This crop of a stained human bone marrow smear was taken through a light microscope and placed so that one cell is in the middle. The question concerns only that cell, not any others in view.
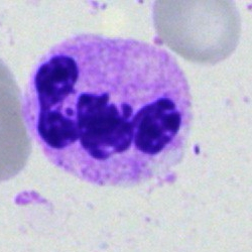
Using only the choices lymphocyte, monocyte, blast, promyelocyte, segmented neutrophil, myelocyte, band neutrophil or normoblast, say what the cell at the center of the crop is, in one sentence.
Standing at the centre of this crop is a segmented neutrophil.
